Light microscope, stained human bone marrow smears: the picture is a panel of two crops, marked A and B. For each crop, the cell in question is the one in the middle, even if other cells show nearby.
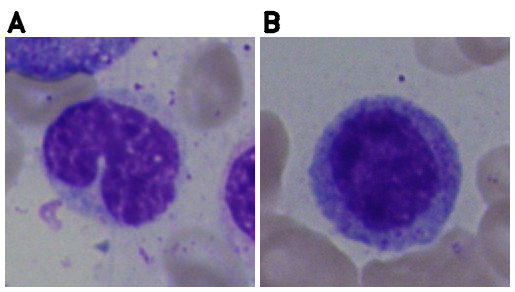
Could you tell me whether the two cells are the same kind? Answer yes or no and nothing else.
no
